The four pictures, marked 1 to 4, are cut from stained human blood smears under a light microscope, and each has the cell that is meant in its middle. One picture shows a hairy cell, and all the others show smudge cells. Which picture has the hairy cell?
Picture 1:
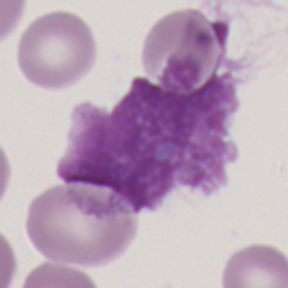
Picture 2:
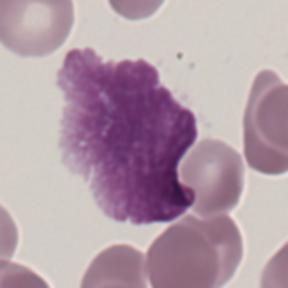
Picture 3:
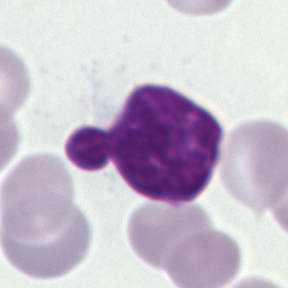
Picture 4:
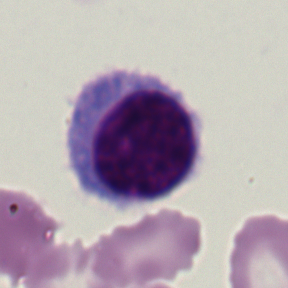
4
